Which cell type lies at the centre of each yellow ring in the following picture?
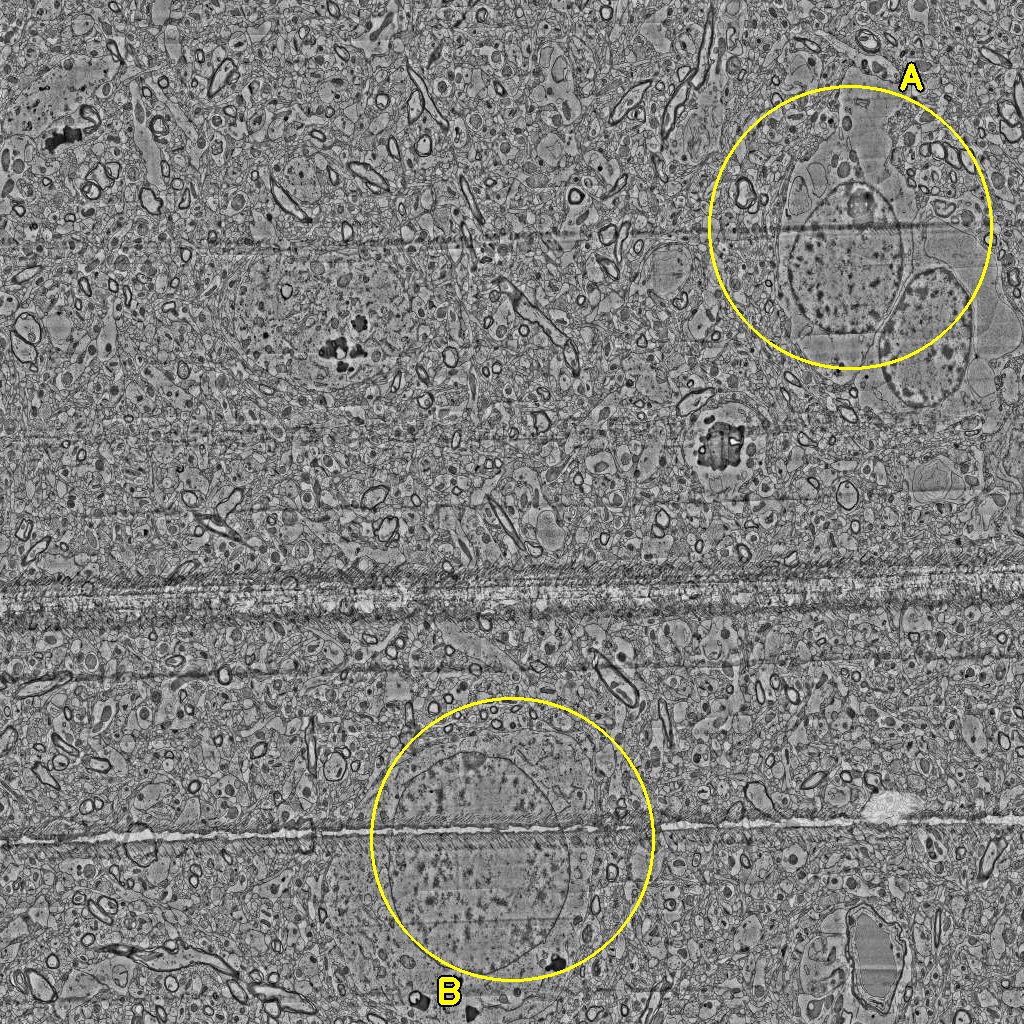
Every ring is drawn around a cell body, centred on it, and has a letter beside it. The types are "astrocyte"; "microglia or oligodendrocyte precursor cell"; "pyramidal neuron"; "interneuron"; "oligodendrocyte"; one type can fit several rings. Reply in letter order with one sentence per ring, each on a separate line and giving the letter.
Ring A marks the cell body of an astrocyte.
Ring B marks the cell body of a pyramidal neuron.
